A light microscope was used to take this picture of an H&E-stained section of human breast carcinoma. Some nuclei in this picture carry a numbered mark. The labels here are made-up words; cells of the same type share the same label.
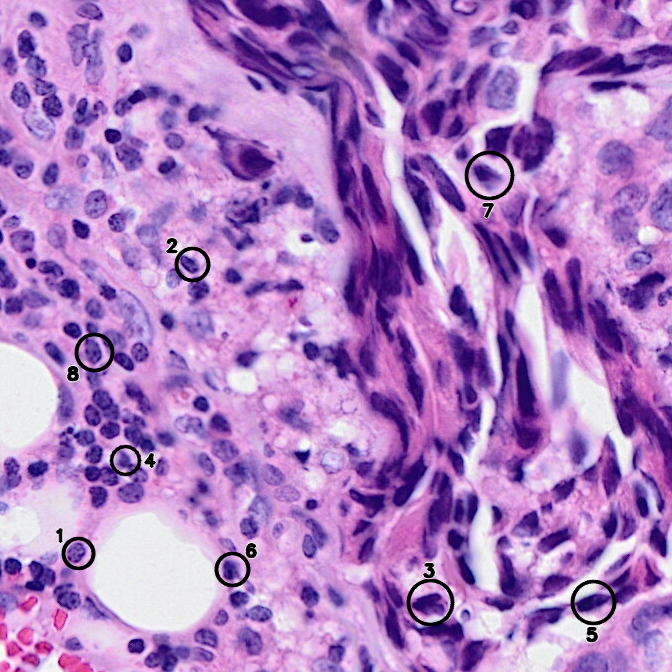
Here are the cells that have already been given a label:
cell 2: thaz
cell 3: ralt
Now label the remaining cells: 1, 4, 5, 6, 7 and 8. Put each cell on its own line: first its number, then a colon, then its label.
1: thaz
4: thaz
5: ralt
6: thaz
7: ralt
8: thaz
